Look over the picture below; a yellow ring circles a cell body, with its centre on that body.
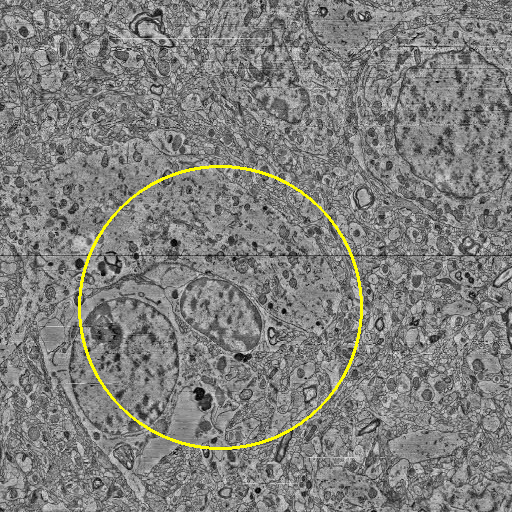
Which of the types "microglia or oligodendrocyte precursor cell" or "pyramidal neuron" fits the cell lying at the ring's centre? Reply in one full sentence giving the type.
The picture shows a microglial cell or oligodendrocyte precursor cell at the centre of the yellow ring.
